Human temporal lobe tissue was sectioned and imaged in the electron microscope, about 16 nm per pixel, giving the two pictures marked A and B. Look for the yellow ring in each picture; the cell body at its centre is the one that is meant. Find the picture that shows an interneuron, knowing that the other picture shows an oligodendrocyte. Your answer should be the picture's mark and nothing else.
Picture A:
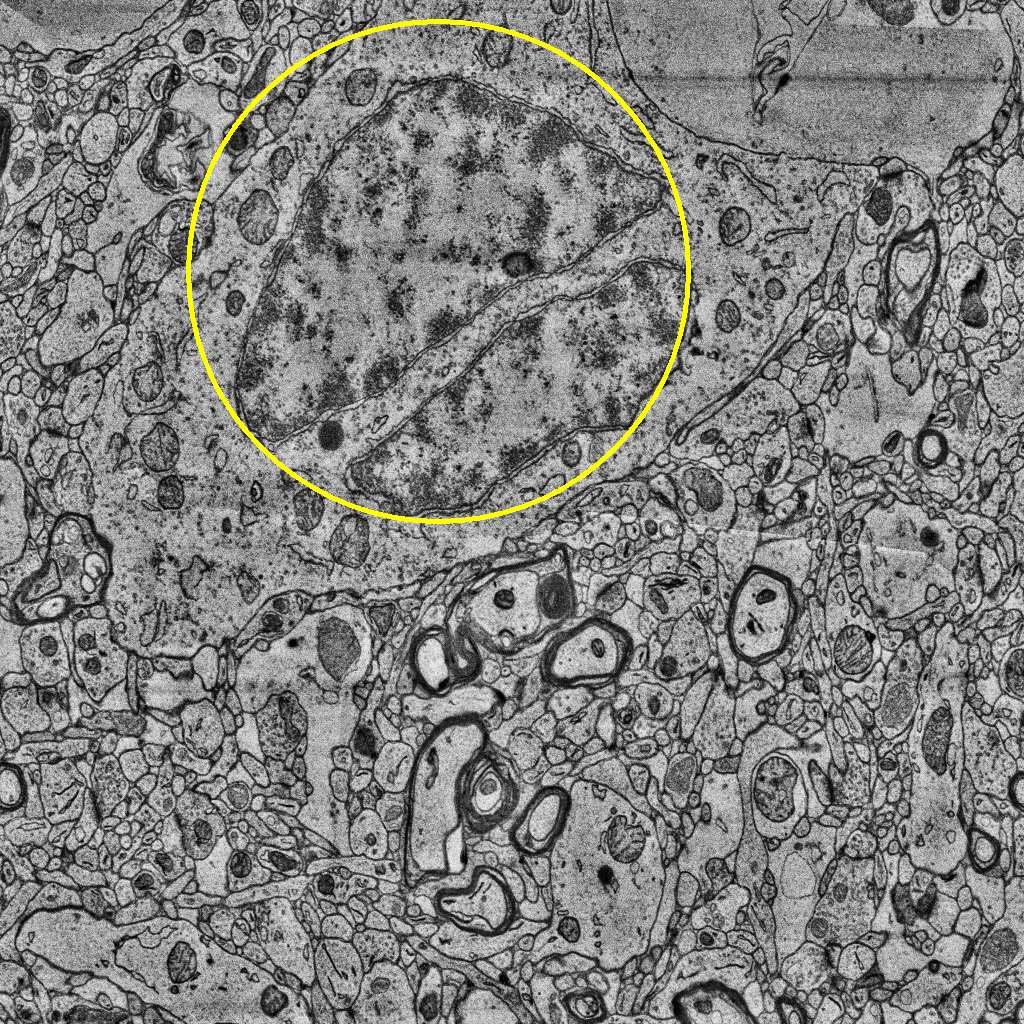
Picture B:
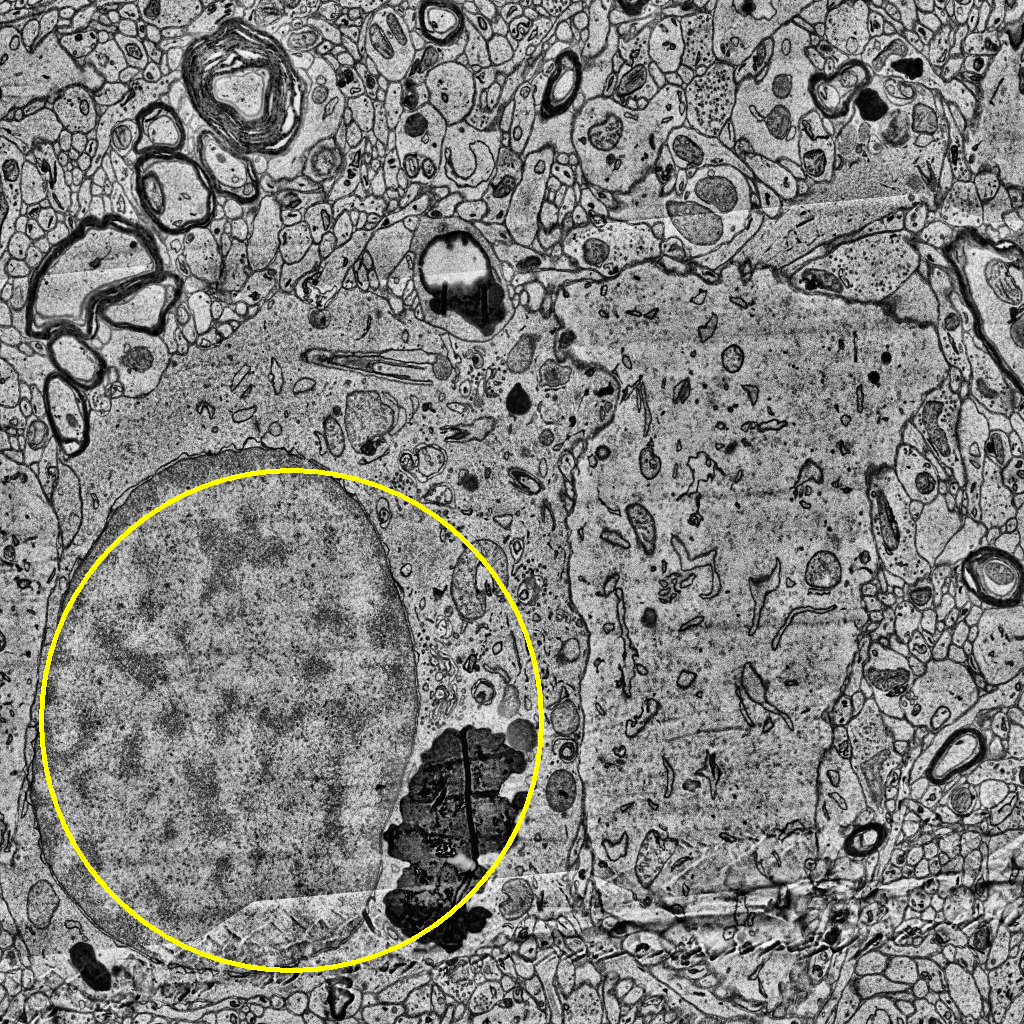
A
